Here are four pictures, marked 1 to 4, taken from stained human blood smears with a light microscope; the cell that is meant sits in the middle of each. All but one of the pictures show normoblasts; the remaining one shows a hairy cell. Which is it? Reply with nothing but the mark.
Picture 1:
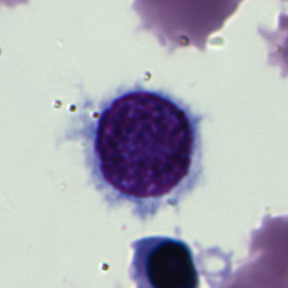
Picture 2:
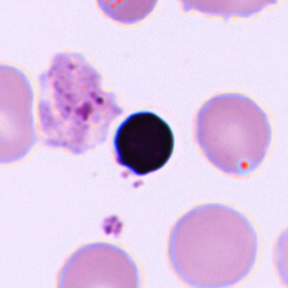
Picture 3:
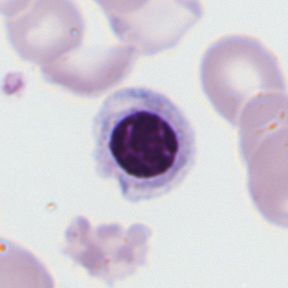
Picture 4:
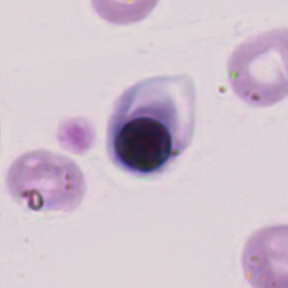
1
